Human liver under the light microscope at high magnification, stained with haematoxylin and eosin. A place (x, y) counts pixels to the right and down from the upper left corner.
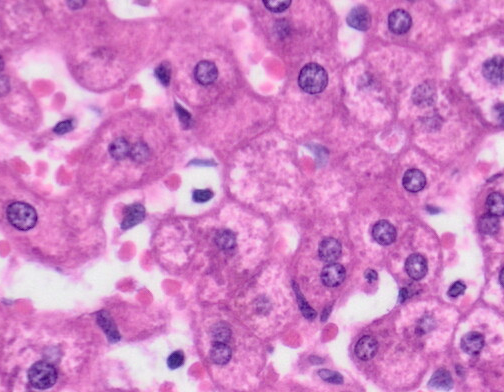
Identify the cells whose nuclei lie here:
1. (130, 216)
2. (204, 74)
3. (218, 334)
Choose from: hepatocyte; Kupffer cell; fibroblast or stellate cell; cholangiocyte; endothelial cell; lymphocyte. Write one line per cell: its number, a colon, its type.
1: Kupffer cell
2: hepatocyte
3: hepatocyte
